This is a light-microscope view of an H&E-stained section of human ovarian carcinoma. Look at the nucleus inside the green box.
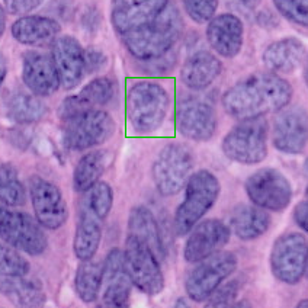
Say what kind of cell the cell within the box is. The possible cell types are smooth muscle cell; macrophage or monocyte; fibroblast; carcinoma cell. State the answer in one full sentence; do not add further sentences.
Speaking plainly, the cell within the box is nothing other than a carcinoma cell.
